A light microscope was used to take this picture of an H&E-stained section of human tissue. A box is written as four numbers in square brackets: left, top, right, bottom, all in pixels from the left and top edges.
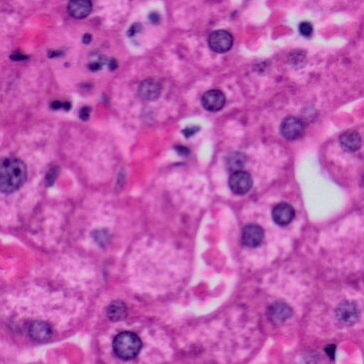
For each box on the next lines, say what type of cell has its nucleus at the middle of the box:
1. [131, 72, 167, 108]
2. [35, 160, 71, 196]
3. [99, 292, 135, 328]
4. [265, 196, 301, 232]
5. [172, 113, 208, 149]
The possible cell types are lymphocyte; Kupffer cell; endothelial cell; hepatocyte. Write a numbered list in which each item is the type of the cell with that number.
1. hepatocyte
2. endothelial cell
3. hepatocyte
4. hepatocyte
5. lymphocyte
